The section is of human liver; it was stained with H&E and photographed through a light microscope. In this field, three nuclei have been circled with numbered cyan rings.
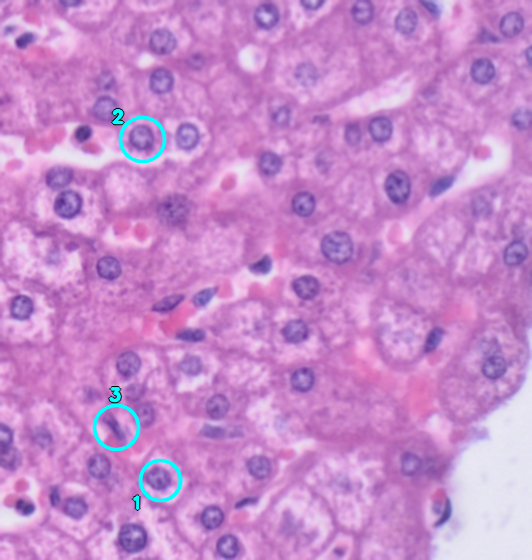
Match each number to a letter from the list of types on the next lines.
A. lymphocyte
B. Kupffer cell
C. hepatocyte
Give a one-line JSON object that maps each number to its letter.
{"1": "C", "2": "C", "3": "B"}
